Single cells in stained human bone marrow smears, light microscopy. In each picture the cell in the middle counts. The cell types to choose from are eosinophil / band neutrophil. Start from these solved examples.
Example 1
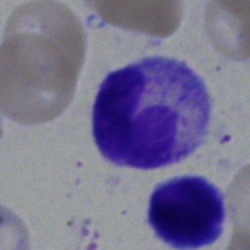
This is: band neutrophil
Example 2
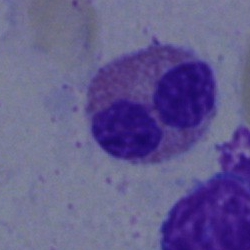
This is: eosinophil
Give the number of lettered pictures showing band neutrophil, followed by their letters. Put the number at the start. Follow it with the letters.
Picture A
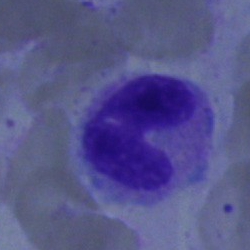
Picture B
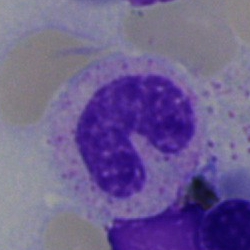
Count: 2 (A, B)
